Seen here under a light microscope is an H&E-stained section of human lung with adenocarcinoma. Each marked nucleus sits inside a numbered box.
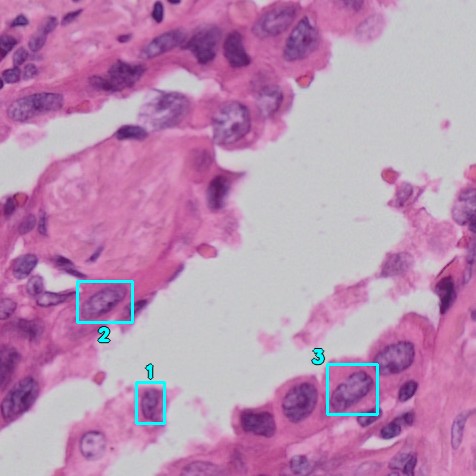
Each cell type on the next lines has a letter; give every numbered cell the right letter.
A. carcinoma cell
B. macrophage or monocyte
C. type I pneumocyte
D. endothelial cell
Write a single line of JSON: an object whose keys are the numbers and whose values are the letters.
{"1": "B", "2": "A", "3": "A"}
